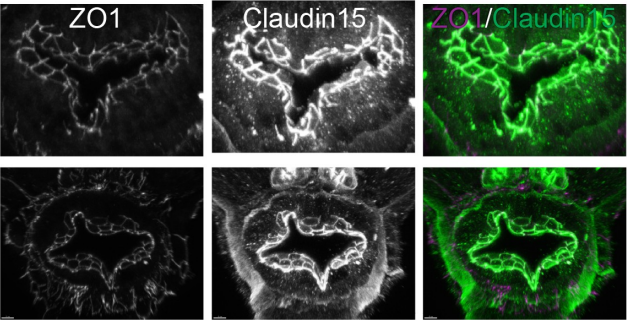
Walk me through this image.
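Bright lines form a dense polygonal mesh around the lumen, outlining the apical boundaries of the epithelial cells. The green channel is strong, tracing the same mesh as the magenta channel and almost completely overlapping it in the merged images, which are dominated by green. A fainter diffuse green glow fills the surrounding wall of the gut, and a bright outer rim is visible around the section in the lower row.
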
